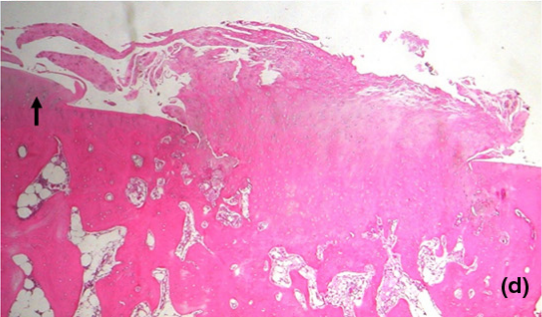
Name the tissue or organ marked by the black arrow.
normal articular cartilage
